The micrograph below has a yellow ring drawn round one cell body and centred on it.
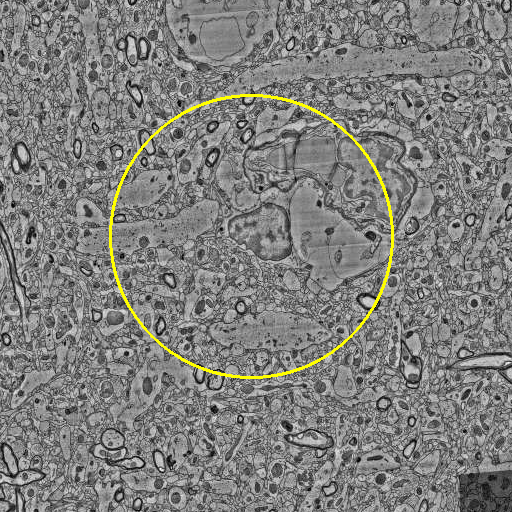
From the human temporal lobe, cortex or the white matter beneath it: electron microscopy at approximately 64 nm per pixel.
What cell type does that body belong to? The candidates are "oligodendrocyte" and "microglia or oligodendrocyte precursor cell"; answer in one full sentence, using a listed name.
This is a microglial cell or oligodendrocyte precursor cell, the cell whose body lies at the centre of the ring.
